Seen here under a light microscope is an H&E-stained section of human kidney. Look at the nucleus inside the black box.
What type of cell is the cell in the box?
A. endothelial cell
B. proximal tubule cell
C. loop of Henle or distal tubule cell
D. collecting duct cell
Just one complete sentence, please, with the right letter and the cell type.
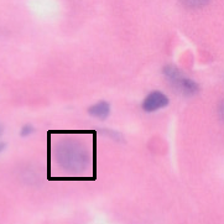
Option B is the right one; the cell in the box is a proximal tubule cell.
